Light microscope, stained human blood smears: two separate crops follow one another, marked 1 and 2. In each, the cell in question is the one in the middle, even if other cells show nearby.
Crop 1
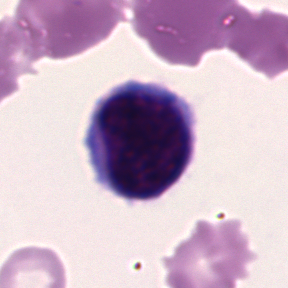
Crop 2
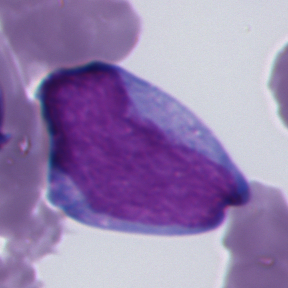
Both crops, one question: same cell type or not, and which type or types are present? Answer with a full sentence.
No, it is in crop 1 that a hairy cell is shown, and in crop 2 that a myeloblast is shown.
